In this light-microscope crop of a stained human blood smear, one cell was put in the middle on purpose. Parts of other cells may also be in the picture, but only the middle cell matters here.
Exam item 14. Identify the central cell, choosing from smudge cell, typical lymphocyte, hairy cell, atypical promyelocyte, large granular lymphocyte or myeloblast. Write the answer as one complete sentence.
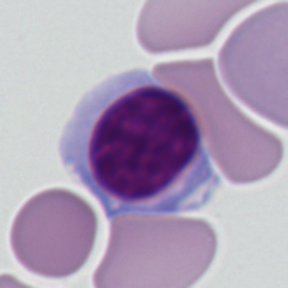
The cell at the middle of the crop is recognized as a typical lymphocyte.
